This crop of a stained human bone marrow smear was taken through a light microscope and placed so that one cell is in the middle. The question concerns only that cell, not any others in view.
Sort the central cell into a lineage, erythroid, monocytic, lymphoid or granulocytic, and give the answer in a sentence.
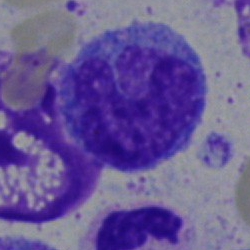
The cell in the middle is to be grouped with the monocytic lineage.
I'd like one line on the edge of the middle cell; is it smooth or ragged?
The outline of this cell is not smooth but ragged or drawn out into projections.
